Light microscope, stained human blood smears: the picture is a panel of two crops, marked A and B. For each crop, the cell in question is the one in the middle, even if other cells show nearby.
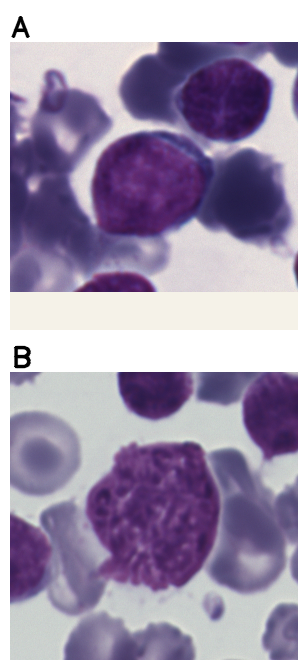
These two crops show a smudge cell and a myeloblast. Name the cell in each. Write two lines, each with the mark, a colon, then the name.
A: myeloblast
B: smudge cell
